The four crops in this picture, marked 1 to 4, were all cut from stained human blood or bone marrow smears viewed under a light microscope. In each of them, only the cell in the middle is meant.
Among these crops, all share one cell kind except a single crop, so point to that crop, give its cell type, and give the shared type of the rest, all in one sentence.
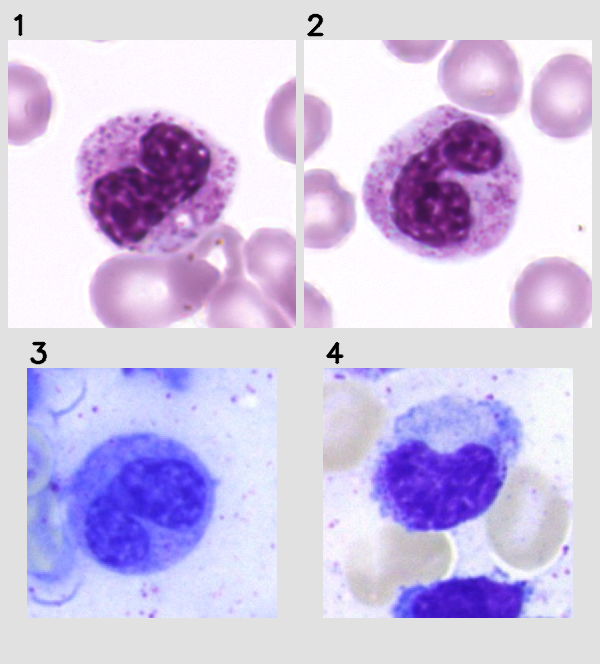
Crop 4 is the one that is a metamyelocyte, and the other crops all show band neutrophils.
